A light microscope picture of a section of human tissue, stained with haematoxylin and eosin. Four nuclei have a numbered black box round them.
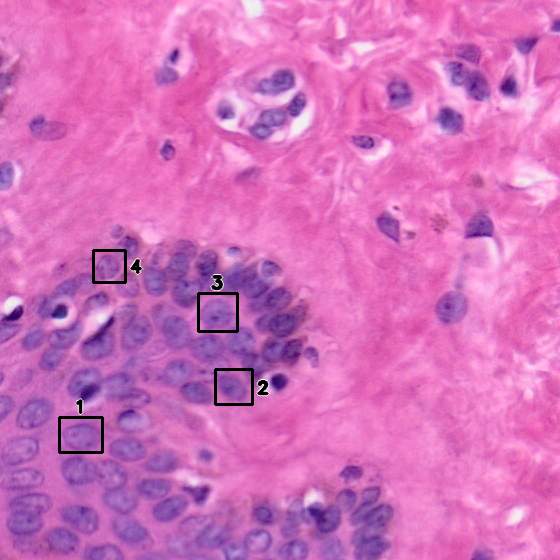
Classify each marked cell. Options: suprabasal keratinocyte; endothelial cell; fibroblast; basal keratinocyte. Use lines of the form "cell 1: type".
cell 1: suprabasal keratinocyte
cell 2: basal keratinocyte
cell 3: basal keratinocyte
cell 4: basal keratinocyte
